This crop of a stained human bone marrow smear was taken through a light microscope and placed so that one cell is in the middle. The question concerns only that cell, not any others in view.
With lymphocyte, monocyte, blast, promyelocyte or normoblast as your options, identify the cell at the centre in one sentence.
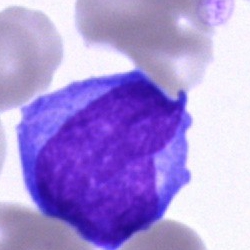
The crop's centre is taken up by a blast.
